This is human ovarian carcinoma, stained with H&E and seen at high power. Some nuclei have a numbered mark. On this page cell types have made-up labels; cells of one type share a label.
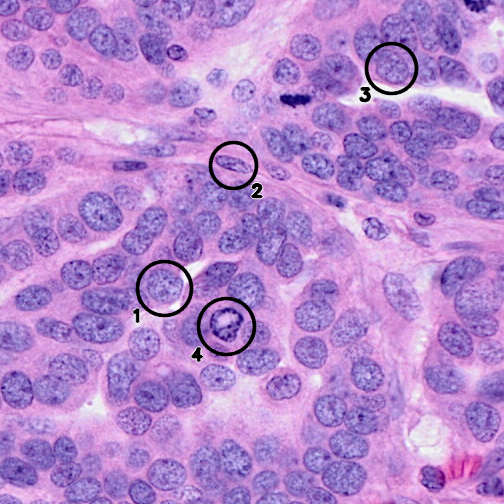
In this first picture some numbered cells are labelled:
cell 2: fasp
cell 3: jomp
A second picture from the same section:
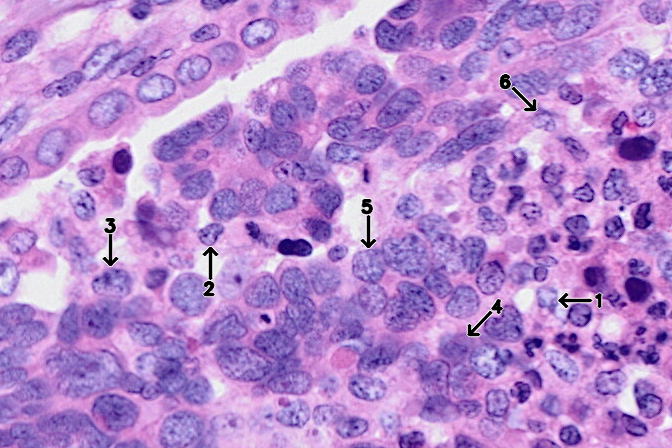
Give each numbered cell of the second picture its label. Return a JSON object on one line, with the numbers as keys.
{"1": "fasp", "2": "fasp", "3": "fasp", "4": "jomp", "5": "jomp", "6": "fasp"}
